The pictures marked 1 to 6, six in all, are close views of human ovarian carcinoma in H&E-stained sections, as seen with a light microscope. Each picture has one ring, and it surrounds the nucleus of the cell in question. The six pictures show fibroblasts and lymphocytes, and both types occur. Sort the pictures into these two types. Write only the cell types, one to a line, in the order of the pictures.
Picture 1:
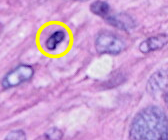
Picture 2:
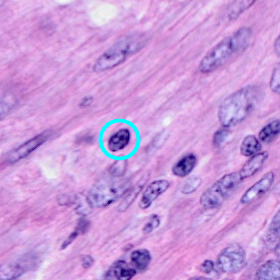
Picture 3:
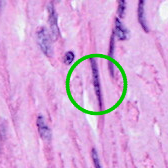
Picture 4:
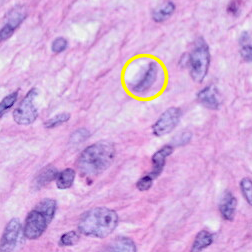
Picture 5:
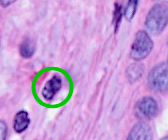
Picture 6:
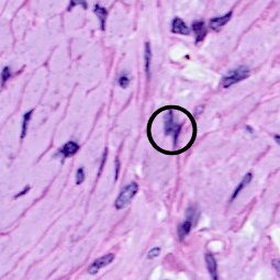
lymphocyte
lymphocyte
fibroblast
fibroblast
lymphocyte
fibroblast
